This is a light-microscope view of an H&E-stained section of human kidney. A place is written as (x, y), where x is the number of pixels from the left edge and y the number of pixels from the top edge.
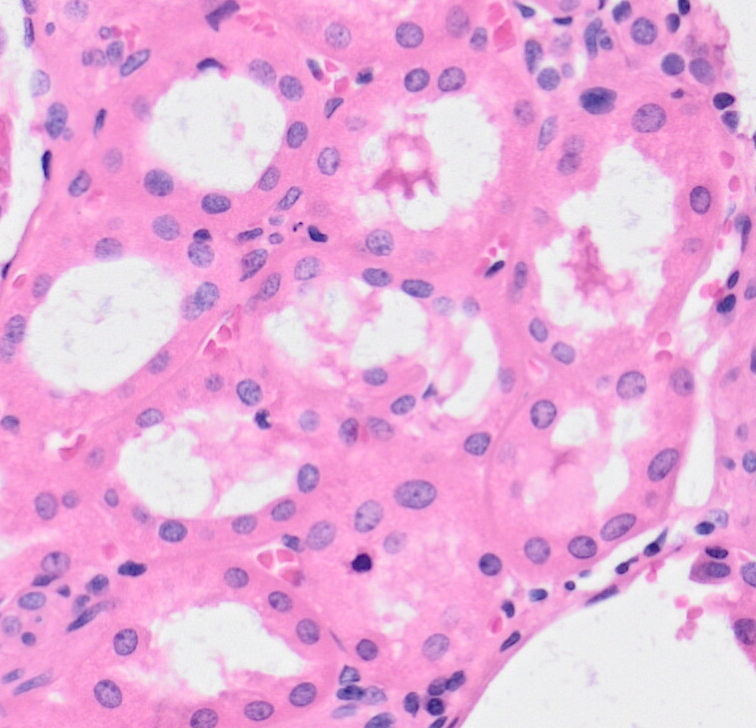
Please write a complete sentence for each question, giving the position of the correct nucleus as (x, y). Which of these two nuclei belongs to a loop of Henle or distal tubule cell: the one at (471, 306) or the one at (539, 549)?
The nucleus at position (471, 306) belongs to a loop of Henle or distal tubule cell.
